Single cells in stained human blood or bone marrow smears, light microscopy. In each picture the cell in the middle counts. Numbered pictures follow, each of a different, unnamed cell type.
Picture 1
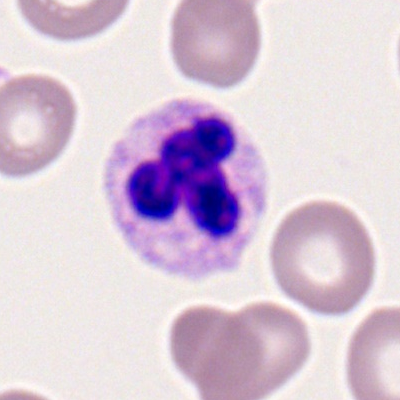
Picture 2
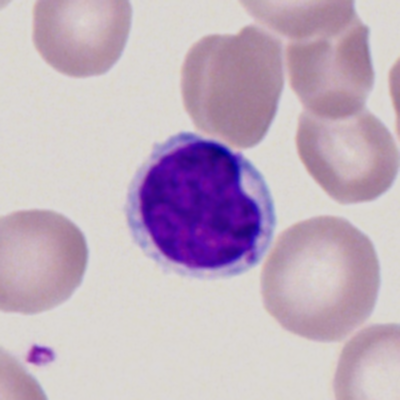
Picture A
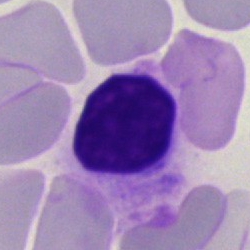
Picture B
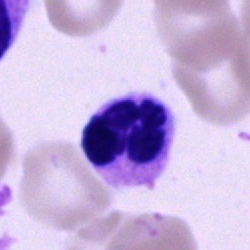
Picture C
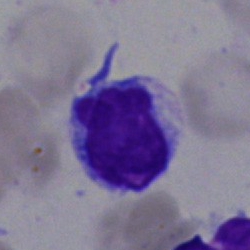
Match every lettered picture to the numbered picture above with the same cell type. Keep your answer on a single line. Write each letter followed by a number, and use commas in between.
A 2, B 1, C 2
